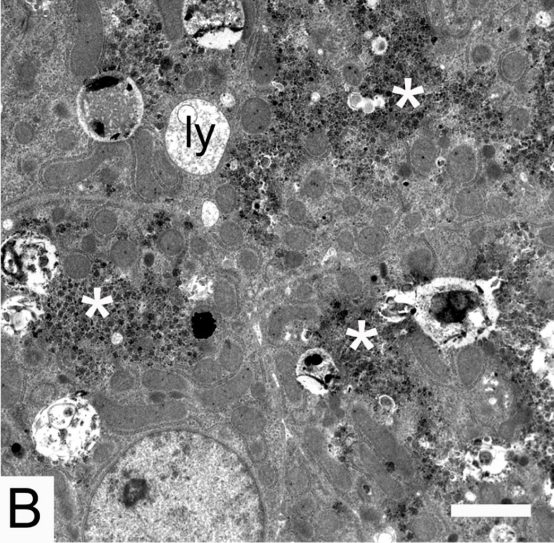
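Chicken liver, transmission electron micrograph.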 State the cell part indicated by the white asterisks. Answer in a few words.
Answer: Glycogen accumulations.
